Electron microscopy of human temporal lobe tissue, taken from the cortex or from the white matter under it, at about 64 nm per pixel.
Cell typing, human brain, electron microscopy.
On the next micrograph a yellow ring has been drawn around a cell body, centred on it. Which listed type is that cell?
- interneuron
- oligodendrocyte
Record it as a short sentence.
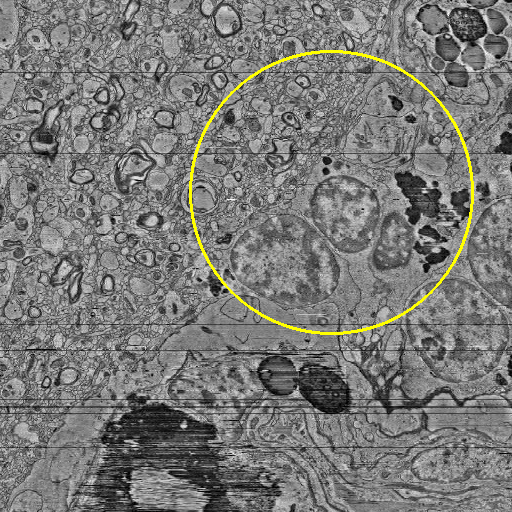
The cell body in the ring's centre belongs to an oligodendrocyte.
